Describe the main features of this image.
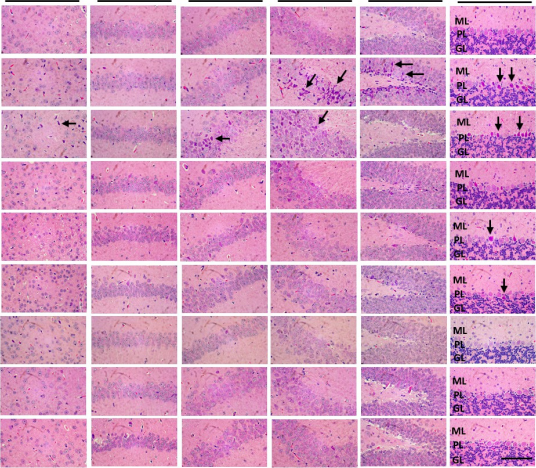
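A grid of small sections of brain stained pink and purple, each column showing a region: cerebral cortex with scattered neurons, hippocampal fields with bands of closely packed neuronal nuclei, and cerebellum with a pale molecular layer, a Purkinje layer and a densely purple granular layer. Neuronal nuclei appear as purple dots in a pink background of neuropil. In some sections arrows point to individual neurons that are smaller and more darkly stained than their neighbours, found among the hippocampal cell bands and at the Purkinje layer of the cerebellum.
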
